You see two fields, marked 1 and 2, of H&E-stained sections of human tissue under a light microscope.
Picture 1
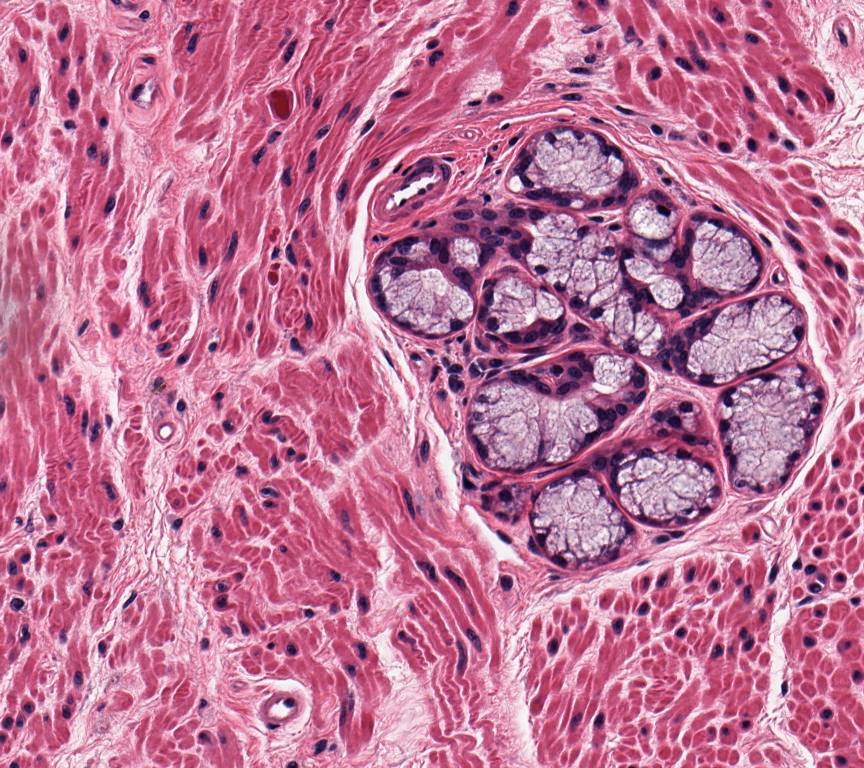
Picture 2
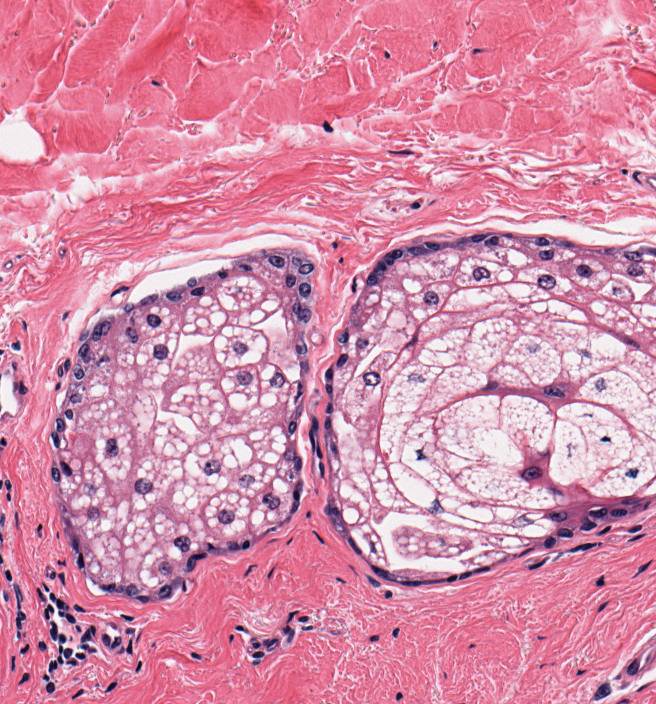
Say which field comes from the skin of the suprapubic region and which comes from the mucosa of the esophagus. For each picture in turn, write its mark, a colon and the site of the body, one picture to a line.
1: mucosa of the esophagus
2: skin of the suprapubic region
